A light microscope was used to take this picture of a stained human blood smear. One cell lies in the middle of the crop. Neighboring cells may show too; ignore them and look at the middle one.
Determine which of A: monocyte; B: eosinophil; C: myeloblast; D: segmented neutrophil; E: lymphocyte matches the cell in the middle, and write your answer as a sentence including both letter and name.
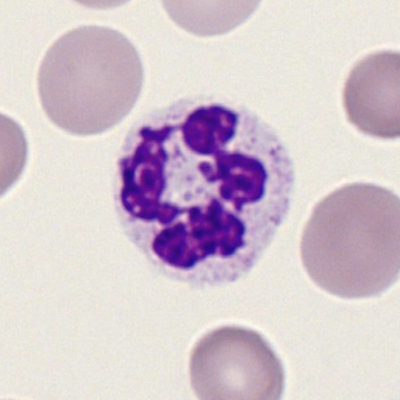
The one to choose is option D, as the cell in the middle is a segmented neutrophil.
